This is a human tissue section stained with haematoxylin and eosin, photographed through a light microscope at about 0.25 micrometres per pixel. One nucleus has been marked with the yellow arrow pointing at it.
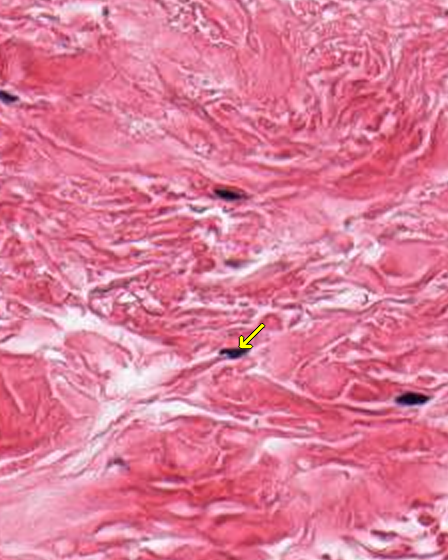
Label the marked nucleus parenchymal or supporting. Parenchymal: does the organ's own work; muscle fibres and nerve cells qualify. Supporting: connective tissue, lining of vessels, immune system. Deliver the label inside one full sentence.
The marked nucleus, in this section, is the nucleus of a supporting cell.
